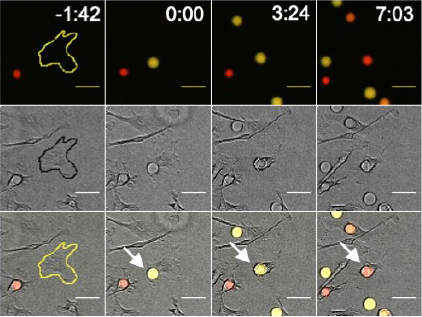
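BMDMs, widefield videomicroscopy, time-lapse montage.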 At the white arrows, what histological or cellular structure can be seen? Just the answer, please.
Particles undergoing phagocytosis.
